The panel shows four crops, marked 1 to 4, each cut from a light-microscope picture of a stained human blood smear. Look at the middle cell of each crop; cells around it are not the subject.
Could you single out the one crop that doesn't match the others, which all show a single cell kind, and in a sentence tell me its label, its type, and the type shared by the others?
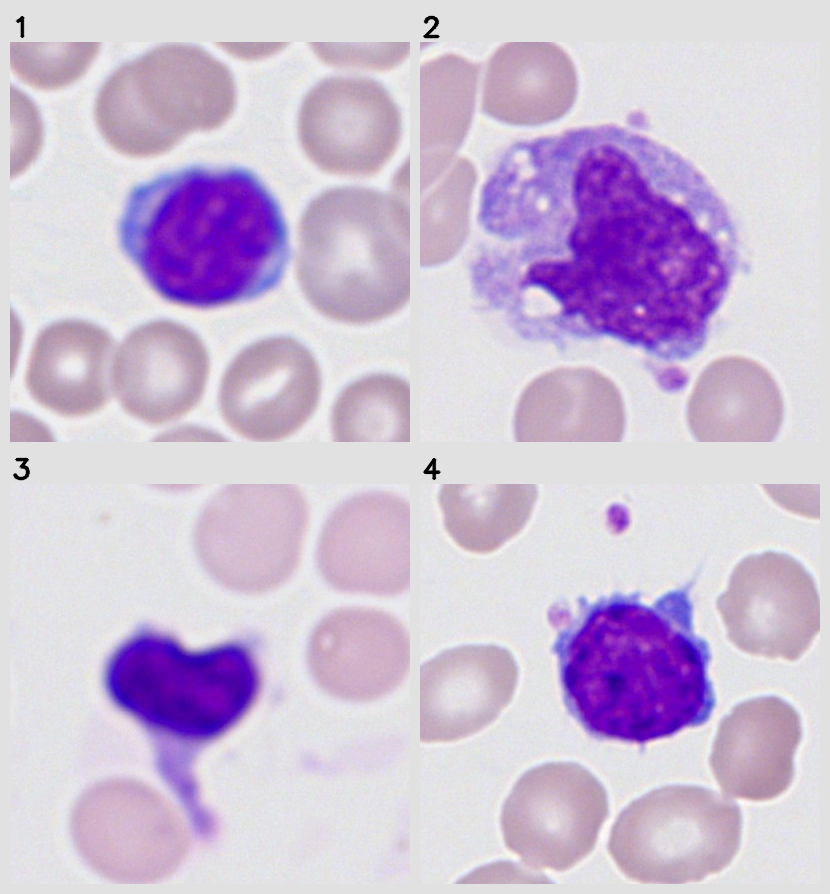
Crop 2 differs, its cell being a monocyte, whereas the other crops show lymphocytes.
